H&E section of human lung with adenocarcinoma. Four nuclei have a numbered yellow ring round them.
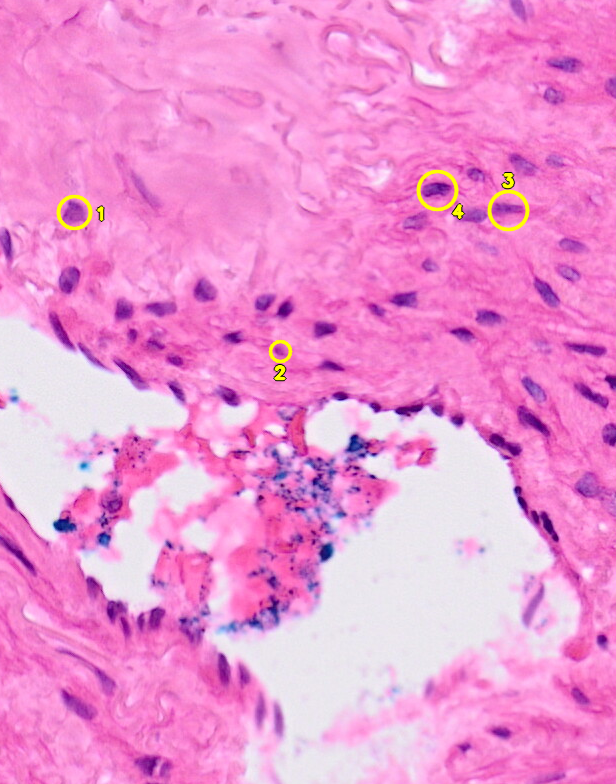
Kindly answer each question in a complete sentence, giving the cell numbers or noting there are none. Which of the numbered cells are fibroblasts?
It is cell 1, and no other numbered cell, that is a fibroblast.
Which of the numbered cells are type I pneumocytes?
There is not a single one of the type I pneumocytes among the numbered cells.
